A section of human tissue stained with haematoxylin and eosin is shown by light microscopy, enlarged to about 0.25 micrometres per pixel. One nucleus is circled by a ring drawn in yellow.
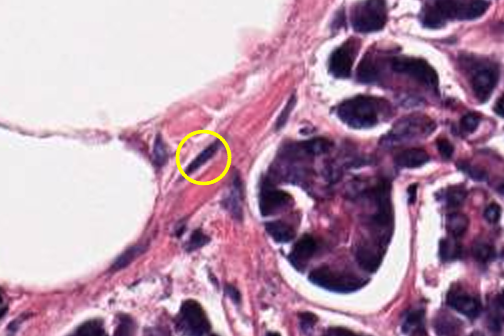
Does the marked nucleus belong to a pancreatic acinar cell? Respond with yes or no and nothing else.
no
